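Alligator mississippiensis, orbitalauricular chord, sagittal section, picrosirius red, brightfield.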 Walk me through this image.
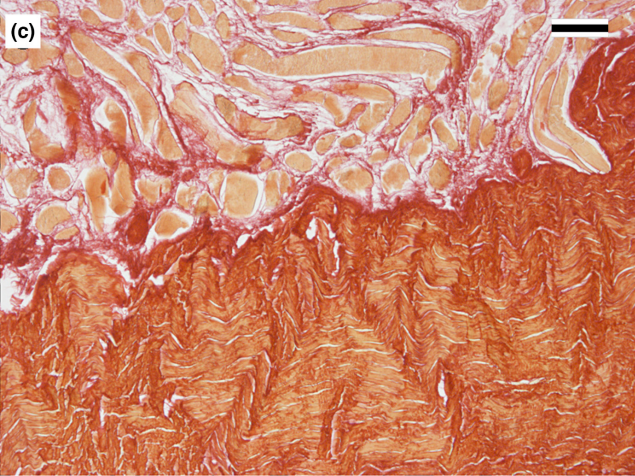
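The upper part shows large pale yellow-tan skeletal muscle fibres, cut lengthwise and across, wrapped in thin red-stained strands of connective tissue. Below lies a dense mass of red-orange collagen fibres with a wavy, crimped, herringbone-like texture, meeting the muscle along an irregular border. The collagen fibres do not run in the same direction as the muscle fibres.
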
